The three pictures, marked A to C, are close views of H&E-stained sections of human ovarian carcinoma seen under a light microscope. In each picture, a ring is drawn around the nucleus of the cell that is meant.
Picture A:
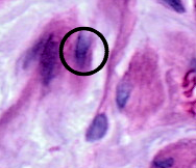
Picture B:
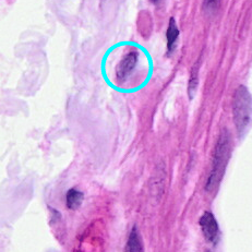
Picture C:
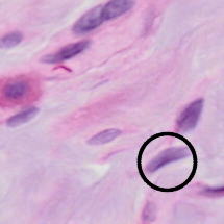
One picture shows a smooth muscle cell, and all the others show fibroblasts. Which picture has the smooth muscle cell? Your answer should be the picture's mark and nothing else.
A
